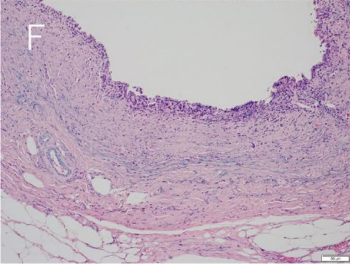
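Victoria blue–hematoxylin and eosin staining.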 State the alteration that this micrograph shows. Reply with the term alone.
inflammatory cell infiltration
